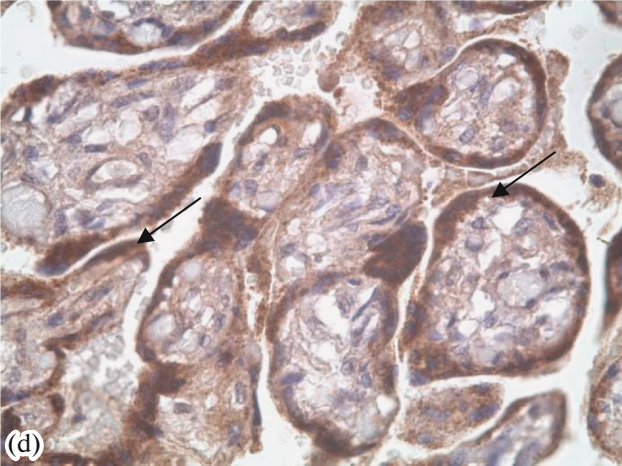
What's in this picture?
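Rounded placental villi cut in cross section lie close together, separated by narrow intervillous spaces. Each villus is covered by a continuous outer layer of syncytiotrophoblast that stains intensely brown, with blue nuclei scattered along it and no borders between them. The cores are loose stroma with pale, blue-nucleated cells and small vessel lumens, stained a lighter brown.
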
